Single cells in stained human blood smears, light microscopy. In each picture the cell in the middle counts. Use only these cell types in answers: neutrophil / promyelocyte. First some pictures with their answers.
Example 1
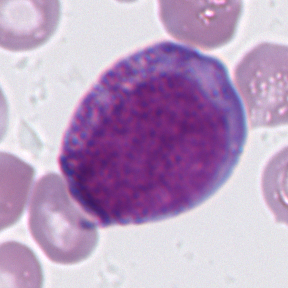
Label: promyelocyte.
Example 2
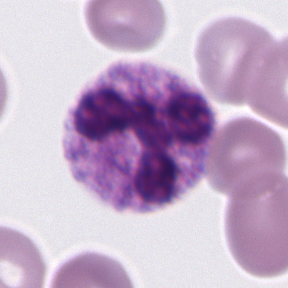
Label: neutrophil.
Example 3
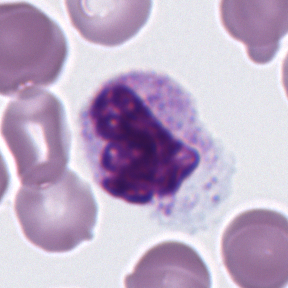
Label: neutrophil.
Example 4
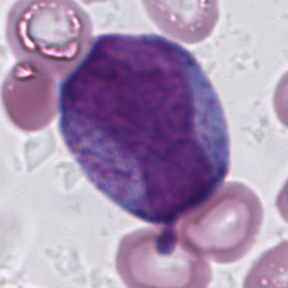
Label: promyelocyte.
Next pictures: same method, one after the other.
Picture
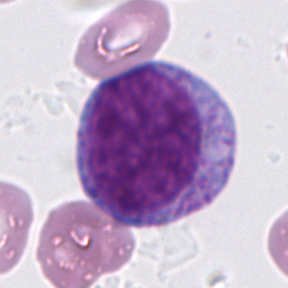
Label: promyelocyte.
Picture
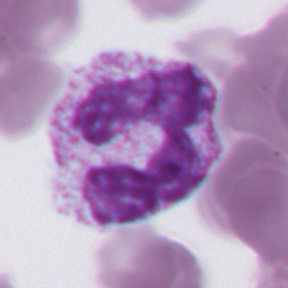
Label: neutrophil.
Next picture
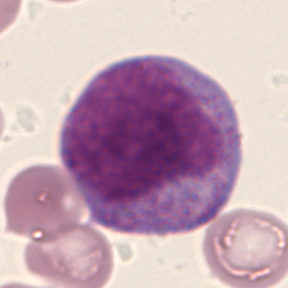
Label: promyelocyte.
